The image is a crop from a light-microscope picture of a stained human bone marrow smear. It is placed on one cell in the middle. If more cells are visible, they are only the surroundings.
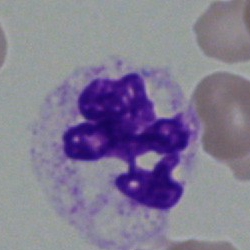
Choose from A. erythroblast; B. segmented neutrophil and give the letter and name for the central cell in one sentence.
Option B is the correct one; it names the central cell as a segmented neutrophil.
